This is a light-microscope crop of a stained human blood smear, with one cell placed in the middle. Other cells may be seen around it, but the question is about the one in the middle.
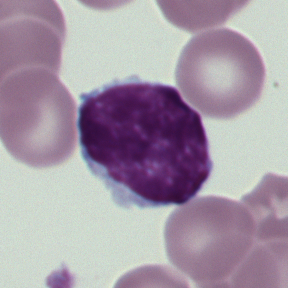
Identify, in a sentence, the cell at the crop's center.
The cell that lies at the centre of the crop is a lymphocyte.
